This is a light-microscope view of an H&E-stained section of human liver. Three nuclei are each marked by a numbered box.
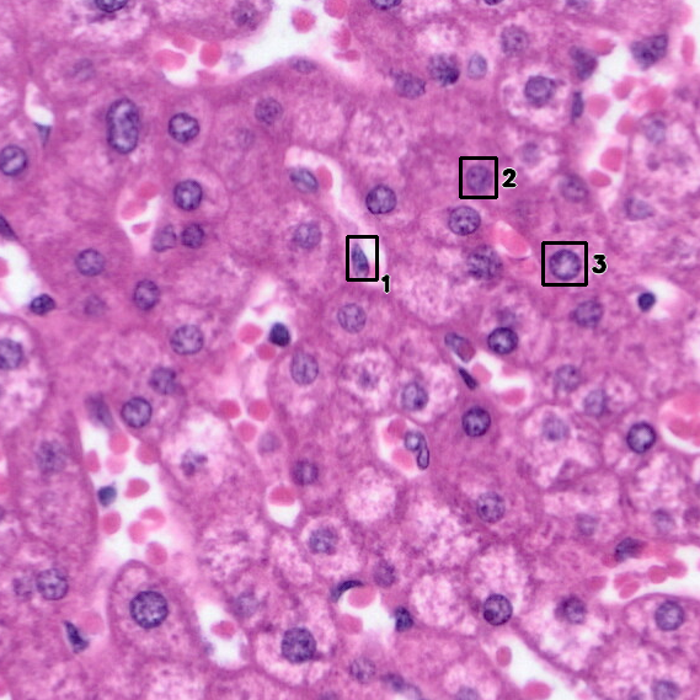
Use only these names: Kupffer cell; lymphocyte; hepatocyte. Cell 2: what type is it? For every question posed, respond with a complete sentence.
The cell identified by number 2 is a hepatocyte.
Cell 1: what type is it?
The nucleus labeled 1 belongs to a lymphocyte.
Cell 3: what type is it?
As for number 3, that cell is a hepatocyte.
